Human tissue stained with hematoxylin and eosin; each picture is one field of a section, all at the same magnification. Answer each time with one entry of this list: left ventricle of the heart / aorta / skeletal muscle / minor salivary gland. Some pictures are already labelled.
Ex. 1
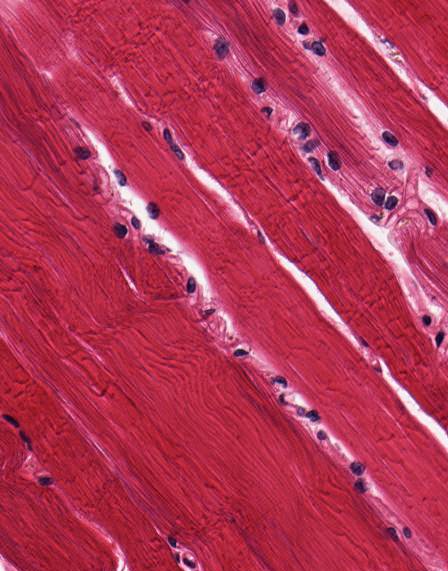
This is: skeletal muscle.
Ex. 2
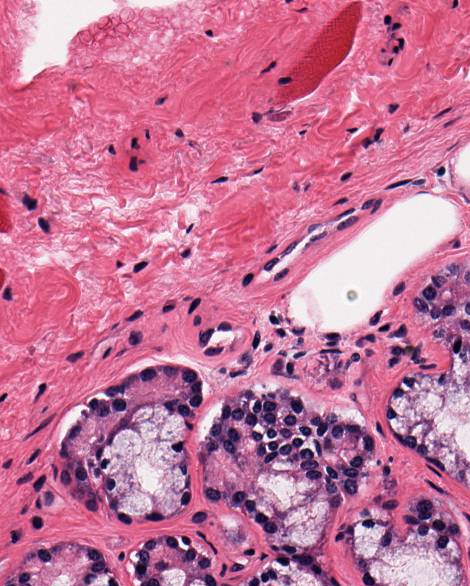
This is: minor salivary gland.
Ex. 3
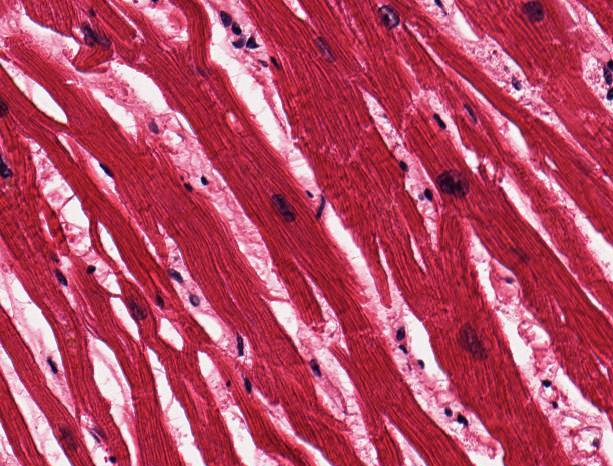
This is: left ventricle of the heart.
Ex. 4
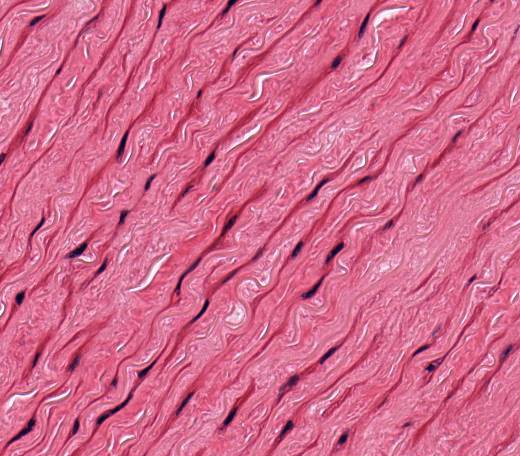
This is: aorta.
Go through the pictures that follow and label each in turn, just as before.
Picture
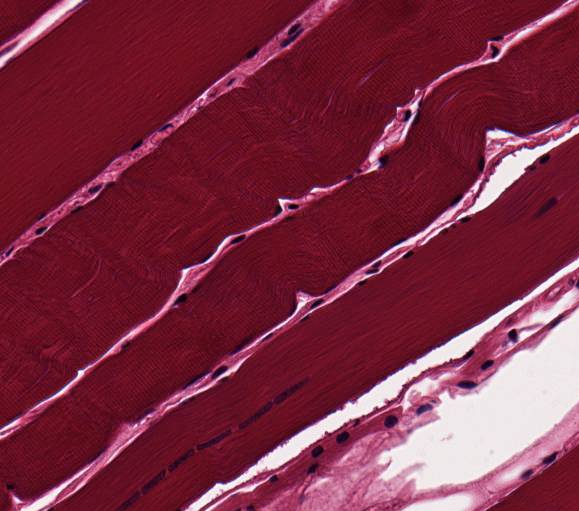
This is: skeletal muscle.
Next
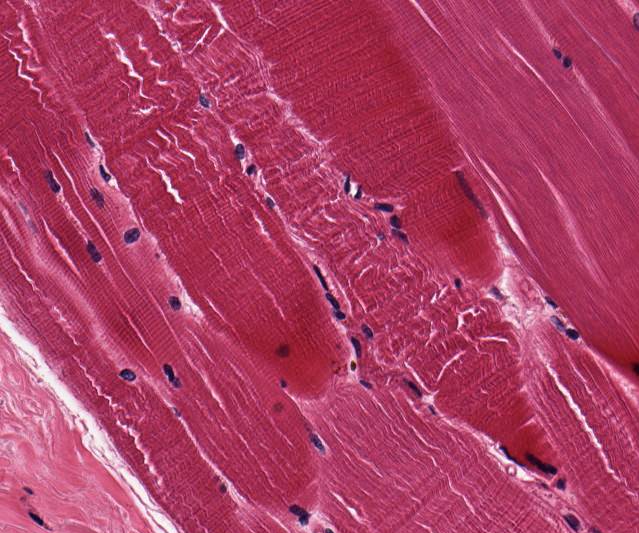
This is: skeletal muscle.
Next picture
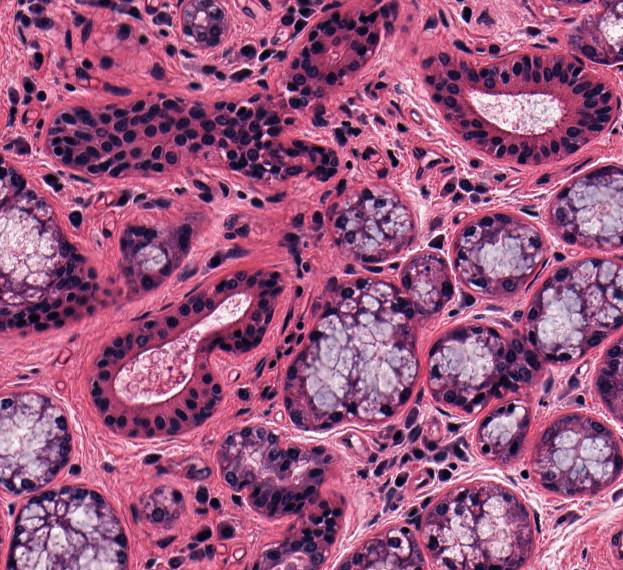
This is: minor salivary gland.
